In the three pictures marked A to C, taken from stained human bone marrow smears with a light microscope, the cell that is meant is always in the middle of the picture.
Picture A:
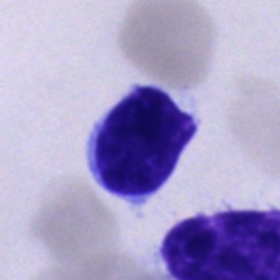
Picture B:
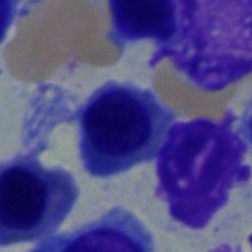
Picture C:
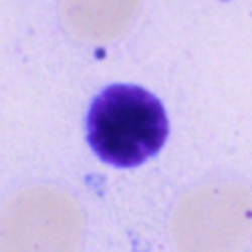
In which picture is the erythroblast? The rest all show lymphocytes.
B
